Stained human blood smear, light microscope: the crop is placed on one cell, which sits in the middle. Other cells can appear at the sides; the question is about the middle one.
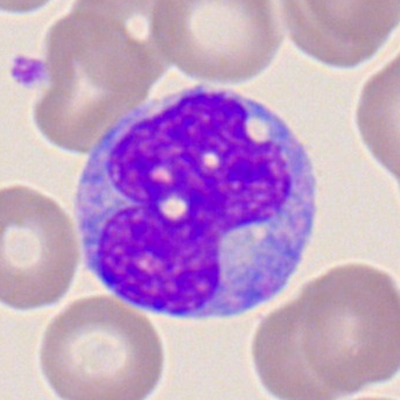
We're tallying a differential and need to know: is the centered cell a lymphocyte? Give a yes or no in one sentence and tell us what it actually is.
No, the central cell does not count as a lymphocyte; it is a monocyte.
